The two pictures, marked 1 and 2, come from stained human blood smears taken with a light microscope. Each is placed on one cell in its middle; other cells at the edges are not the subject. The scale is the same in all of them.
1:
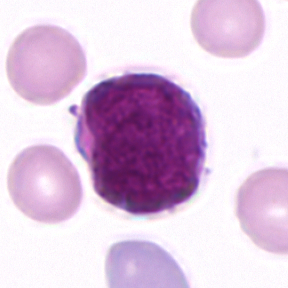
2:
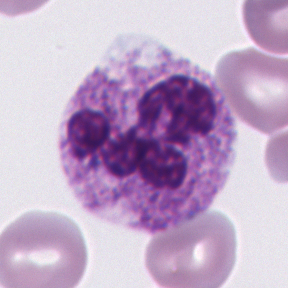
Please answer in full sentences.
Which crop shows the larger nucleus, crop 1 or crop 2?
Crop 1 shows the larger nucleus; it covers about 1.5 times the area of the nucleus in crop 2.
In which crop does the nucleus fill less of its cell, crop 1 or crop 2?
Of the two, the nucleus in crop 2 leaves more room for cytoplasm.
